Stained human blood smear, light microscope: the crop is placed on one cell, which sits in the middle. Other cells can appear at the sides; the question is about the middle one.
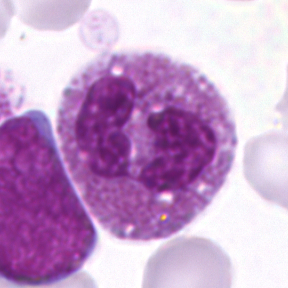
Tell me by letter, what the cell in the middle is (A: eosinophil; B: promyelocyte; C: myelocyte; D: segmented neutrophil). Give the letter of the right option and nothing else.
A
